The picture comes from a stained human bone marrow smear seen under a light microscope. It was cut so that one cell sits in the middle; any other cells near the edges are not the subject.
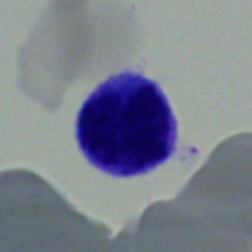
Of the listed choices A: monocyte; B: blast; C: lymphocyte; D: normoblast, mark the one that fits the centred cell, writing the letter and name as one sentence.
Identified correctly by option C, the cell in the middle is a lymphocyte.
